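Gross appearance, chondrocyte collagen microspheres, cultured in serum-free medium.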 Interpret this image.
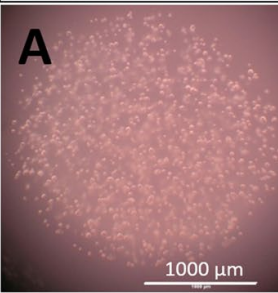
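A roughly round, pinkish disc of gel is seen from above at low power, with no stain. Scattered evenly through it are many small, round, pale, refractile bodies of about the same size. They lie apart from one another rather than in clusters or sheets. No central condensation or dark core is evident, and the edge of the disc is not sharply marked.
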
